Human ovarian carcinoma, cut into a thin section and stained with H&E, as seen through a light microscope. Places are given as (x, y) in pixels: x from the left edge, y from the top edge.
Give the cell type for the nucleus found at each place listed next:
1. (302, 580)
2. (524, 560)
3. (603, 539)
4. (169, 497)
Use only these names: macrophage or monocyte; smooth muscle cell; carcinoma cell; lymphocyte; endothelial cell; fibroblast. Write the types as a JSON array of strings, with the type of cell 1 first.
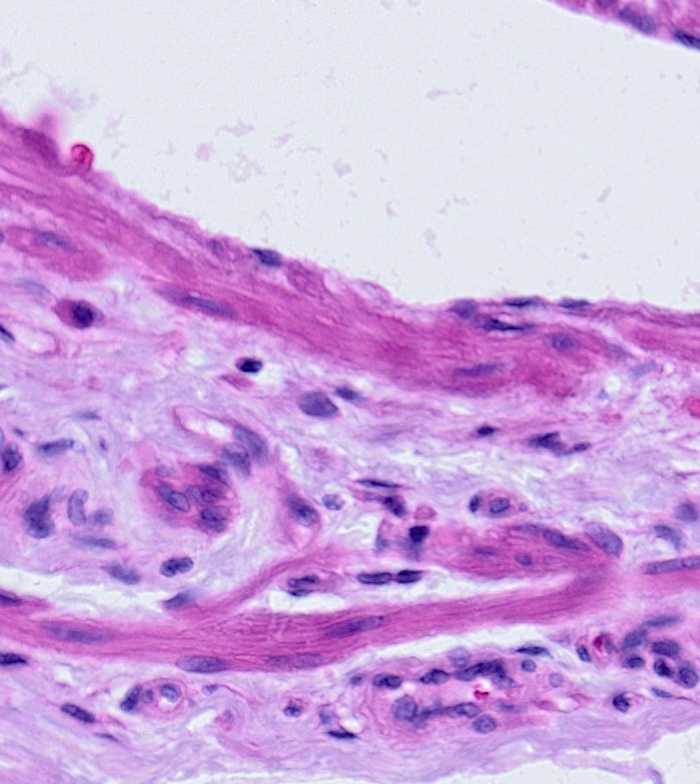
["endothelial cell", "smooth muscle cell", "smooth muscle cell", "smooth muscle cell"]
